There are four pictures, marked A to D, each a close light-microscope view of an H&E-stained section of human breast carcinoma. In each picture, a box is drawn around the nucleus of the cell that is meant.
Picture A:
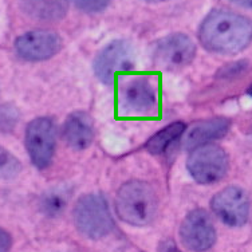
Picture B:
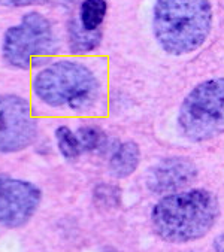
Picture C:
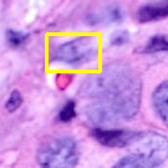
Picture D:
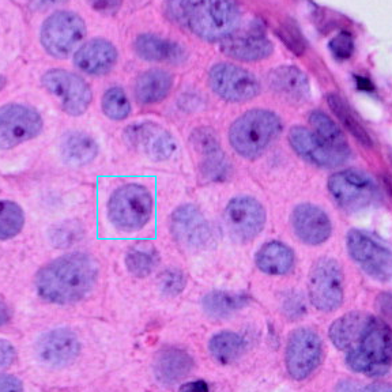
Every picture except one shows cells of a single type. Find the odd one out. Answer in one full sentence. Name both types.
Picture C is the odd one out: it shows an endothelial cell, while the others show carcinoma cells.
